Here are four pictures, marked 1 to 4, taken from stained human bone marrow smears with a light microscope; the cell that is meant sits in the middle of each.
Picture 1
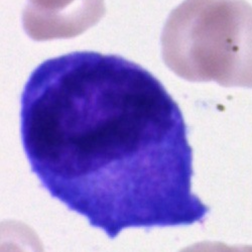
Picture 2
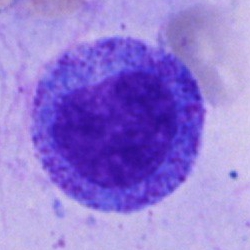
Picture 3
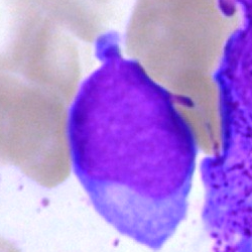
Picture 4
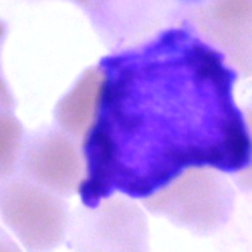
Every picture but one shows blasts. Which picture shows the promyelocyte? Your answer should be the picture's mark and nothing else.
2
